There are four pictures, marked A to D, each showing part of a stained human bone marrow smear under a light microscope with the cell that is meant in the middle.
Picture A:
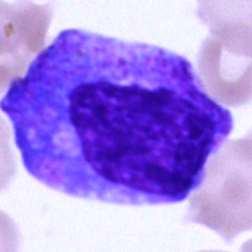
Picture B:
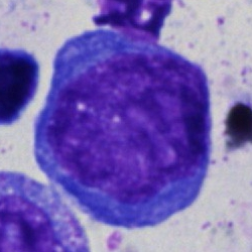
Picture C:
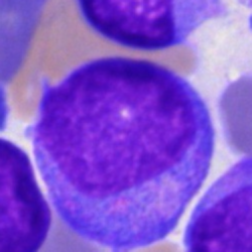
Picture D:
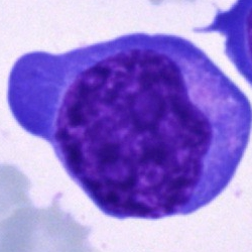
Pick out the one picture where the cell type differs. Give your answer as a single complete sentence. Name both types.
The different one is picture A; it shows a promyelocyte, whereas all the others show blasts.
